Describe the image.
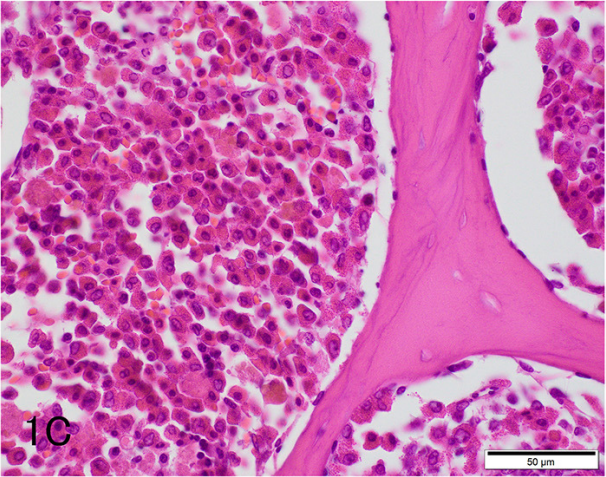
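A pale pink bony trabecula runs through the section, and the marrow spaces on either side are filled with densely packed cells. Most of these cells have moderate pink to orange-tinged cytoplasm and round to indented dark nuclei, forming continuous sheets. They are eosinophils, mostly immature forms, replacing the normal marrow. Fat spaces and a mixed population of other blood-forming cells are hardly to be found. A few larger cells with brownish cytoplasm lie scattered among the sheets.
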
